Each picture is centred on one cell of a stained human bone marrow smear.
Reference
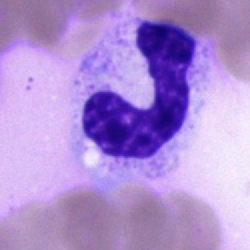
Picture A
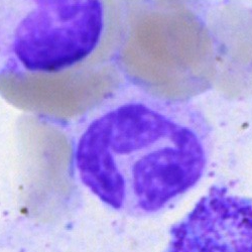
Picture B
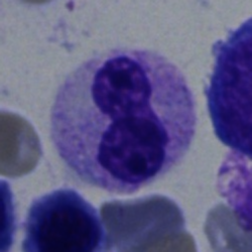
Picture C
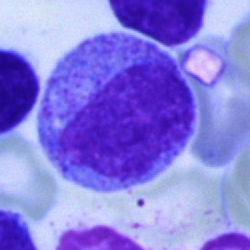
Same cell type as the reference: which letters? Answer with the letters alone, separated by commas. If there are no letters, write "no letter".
B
